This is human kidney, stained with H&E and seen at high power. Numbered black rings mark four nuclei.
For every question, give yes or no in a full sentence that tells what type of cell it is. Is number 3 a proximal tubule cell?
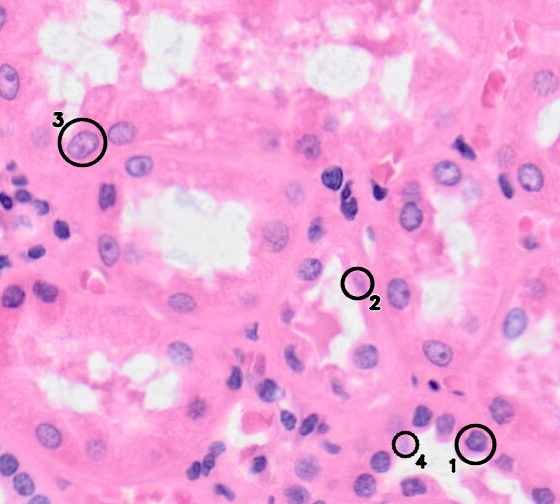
Yes, the marked cell numbered 3 is a proximal tubule cell.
